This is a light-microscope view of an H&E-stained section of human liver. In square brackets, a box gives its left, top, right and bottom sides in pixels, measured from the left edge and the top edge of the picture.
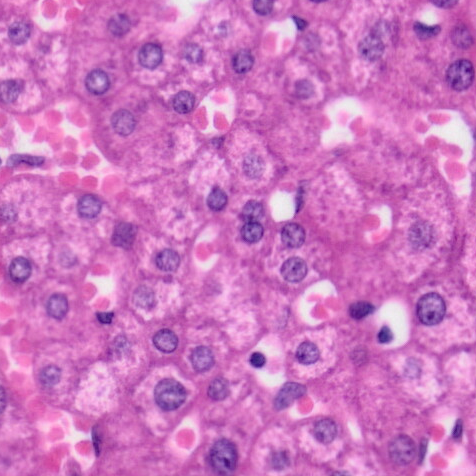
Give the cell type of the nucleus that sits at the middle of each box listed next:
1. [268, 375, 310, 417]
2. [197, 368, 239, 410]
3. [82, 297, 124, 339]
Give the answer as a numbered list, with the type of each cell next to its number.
1. Kupffer cell
2. hepatocyte
3. fibroblast or stellate cell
